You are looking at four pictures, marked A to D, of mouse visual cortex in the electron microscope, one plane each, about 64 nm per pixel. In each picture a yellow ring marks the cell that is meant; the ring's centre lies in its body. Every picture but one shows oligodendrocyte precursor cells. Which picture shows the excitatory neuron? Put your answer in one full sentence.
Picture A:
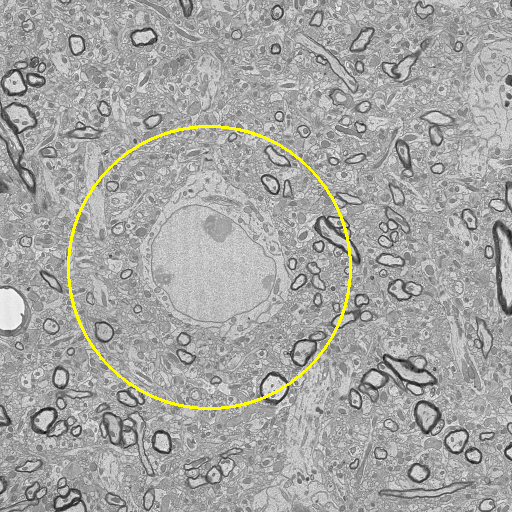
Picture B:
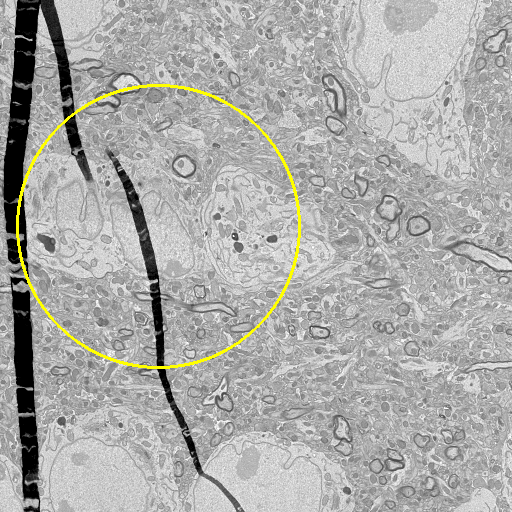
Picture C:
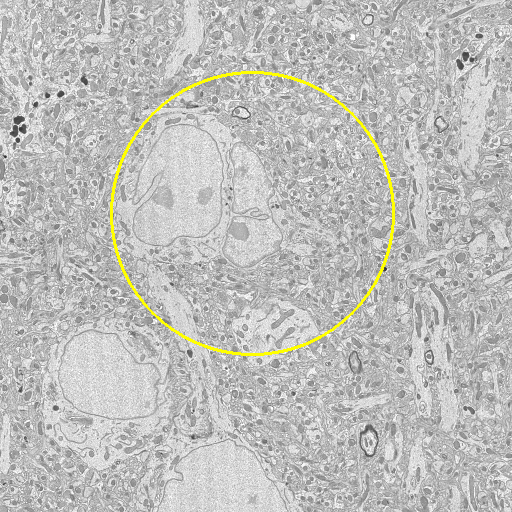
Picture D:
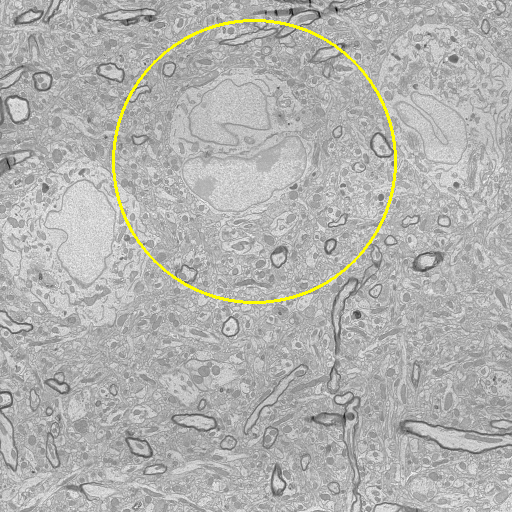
Picture A shows the excitatory neuron.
